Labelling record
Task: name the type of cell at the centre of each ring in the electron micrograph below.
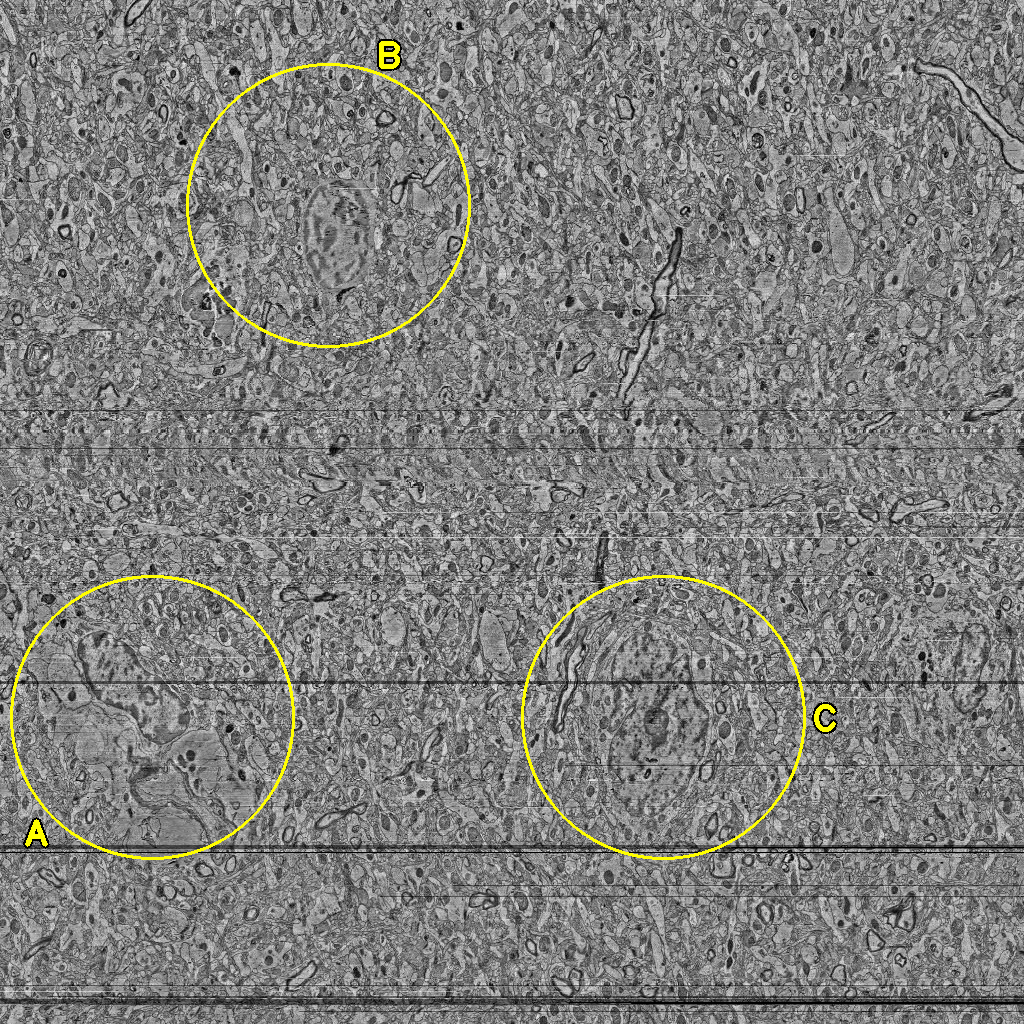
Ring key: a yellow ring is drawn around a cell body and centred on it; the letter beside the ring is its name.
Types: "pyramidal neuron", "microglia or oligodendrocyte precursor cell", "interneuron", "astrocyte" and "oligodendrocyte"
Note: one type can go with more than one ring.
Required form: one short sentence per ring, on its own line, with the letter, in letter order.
In ring A, the centred cell is a microglial cell or oligodendrocyte precursor cell.
In ring B, the centred cell is an oligodendrocyte.
In ring C, the centred cell is an interneuron.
